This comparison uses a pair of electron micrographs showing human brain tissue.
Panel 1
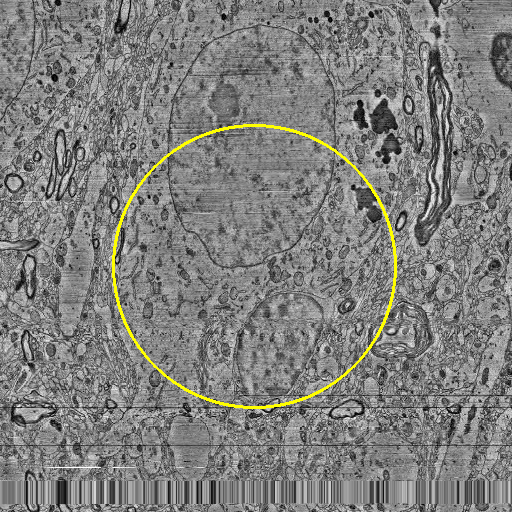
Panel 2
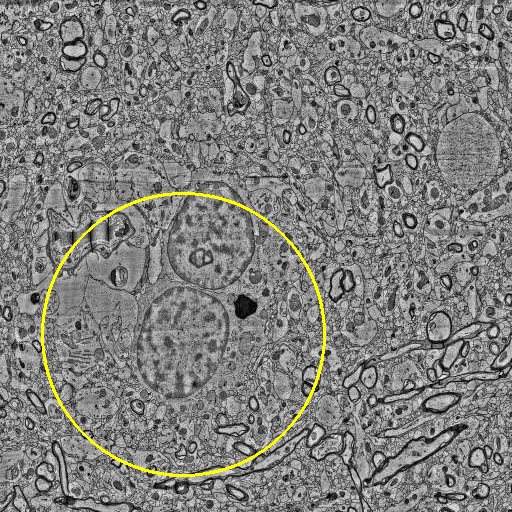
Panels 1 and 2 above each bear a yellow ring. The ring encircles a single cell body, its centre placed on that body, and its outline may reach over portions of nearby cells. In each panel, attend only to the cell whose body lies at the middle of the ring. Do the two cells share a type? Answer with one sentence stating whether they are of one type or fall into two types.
In Panel 1 and Panel 2, the cells at the centres of the rings fall into two types.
